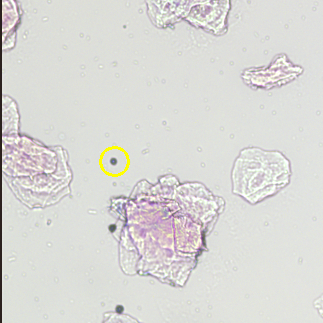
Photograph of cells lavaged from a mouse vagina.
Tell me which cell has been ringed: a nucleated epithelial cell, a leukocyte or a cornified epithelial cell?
It is a leukocyte.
